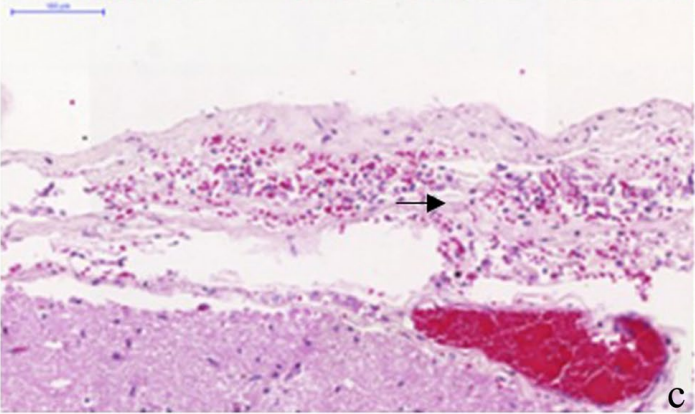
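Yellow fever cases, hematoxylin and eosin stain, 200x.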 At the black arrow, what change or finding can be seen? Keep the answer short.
Meningeal hemorrhage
